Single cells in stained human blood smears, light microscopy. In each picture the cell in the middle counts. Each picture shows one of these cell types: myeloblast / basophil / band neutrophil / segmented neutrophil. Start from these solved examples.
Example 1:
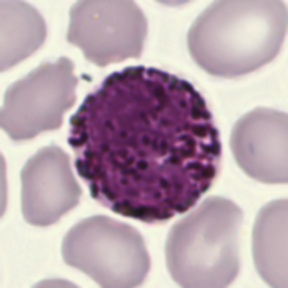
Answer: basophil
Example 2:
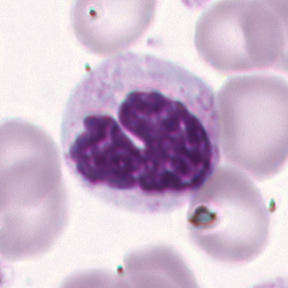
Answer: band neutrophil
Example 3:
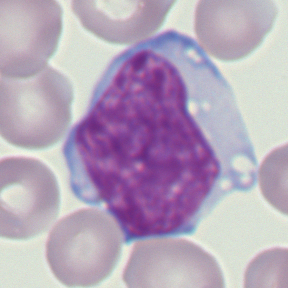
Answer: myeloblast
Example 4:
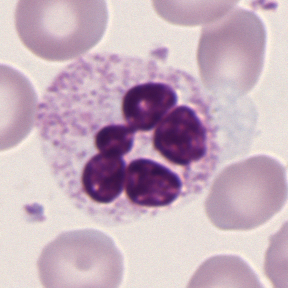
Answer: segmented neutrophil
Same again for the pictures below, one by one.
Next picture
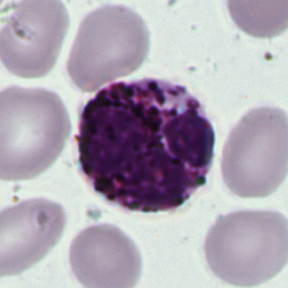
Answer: basophil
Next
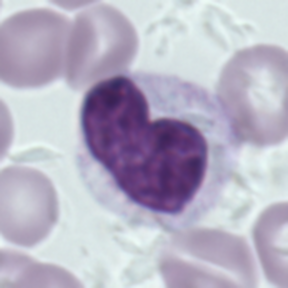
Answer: band neutrophil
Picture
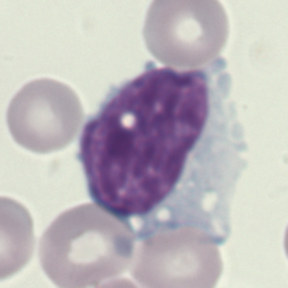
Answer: myeloblast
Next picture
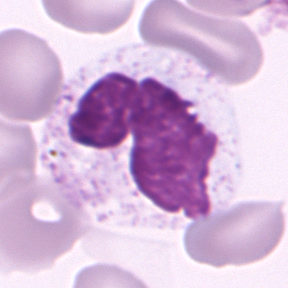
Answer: band neutrophil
